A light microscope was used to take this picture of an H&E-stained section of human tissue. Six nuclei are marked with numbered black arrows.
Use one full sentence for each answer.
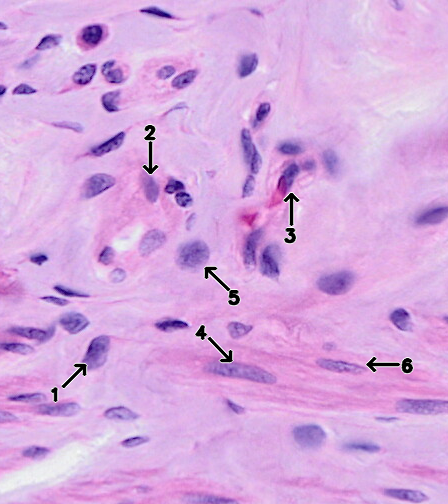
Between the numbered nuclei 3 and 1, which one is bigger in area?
Of the two, number 1 is bigger and takes up about 1.5 times the area of number 3.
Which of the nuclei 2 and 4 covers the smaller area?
Number 2 is smaller, since number 4 takes up about 2.5 times as much area.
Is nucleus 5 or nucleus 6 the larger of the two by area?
Of the two, number 5 is bigger and takes up about 1.5 times the area of number 6.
